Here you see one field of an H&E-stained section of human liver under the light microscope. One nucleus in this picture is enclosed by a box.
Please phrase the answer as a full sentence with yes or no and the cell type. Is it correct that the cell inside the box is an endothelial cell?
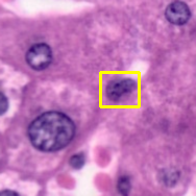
Yes, it holds that the cell inside the box is an endothelial cell.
